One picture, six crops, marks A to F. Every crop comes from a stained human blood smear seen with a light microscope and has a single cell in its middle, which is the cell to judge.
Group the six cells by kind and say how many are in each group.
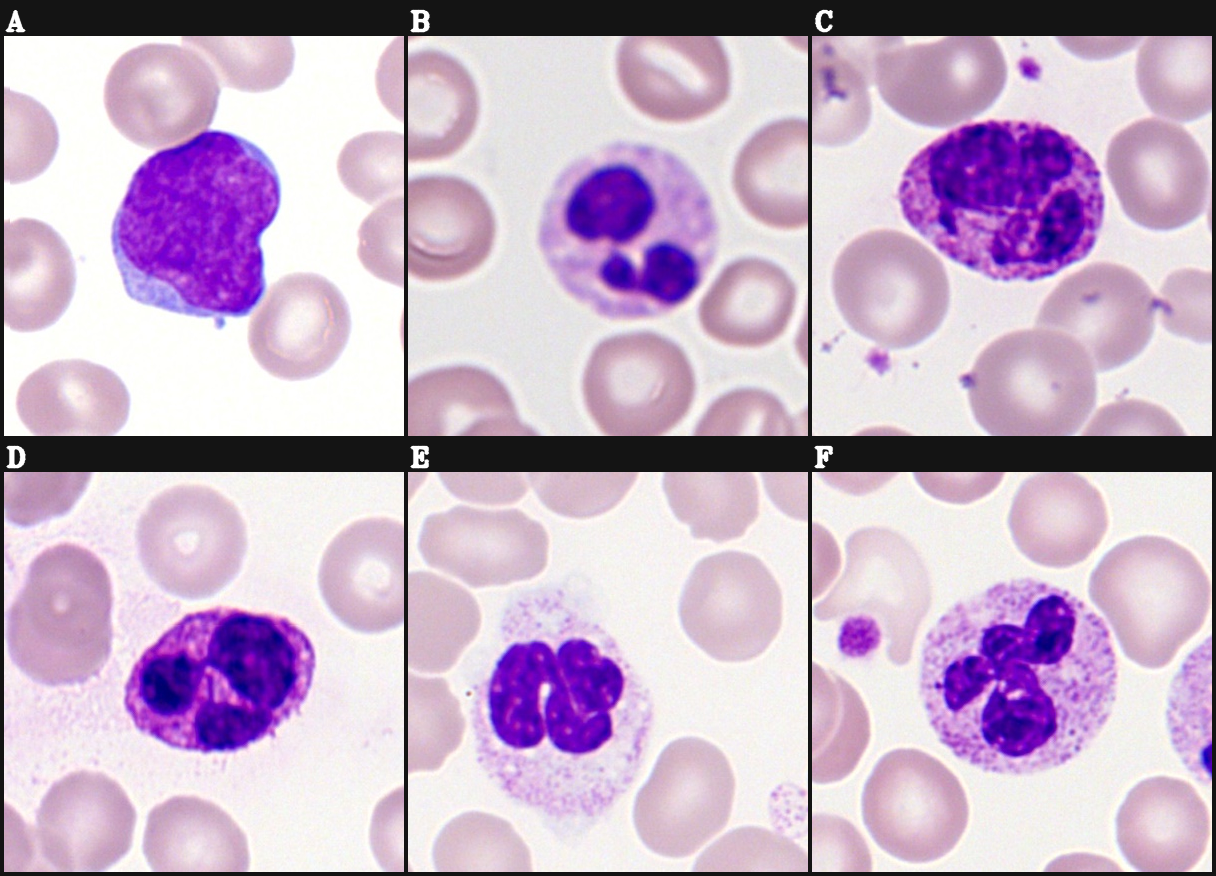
segmented neutrophil: 3
basophil: 2
myeloblast: 1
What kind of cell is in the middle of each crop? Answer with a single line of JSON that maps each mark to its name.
{"A": "myeloblast", "B": "segmented neutrophil", "C": "basophil", "D": "basophil", "E": "segmented neutrophil", "F": "segmented neutrophil"}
